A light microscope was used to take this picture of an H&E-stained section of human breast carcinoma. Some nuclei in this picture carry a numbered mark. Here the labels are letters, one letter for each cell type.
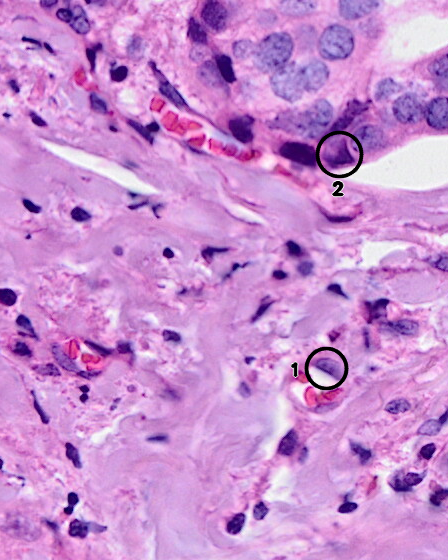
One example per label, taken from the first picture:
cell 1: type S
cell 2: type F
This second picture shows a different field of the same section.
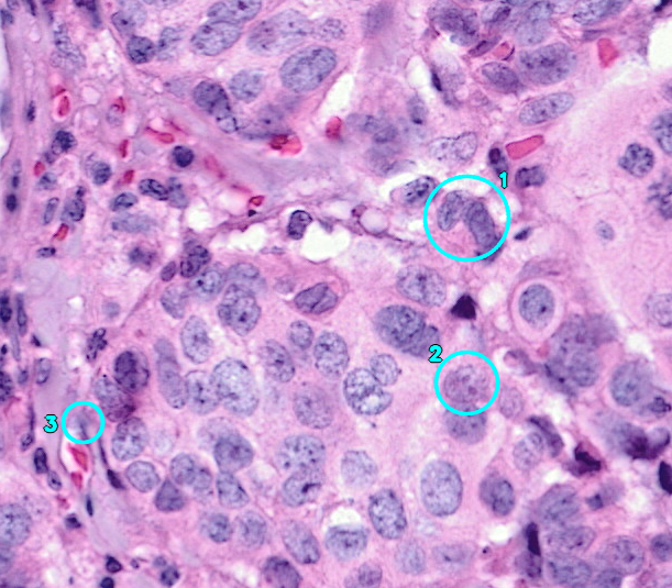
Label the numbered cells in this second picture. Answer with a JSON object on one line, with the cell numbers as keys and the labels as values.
{"1": "type F", "2": "type F", "3": "type S"}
